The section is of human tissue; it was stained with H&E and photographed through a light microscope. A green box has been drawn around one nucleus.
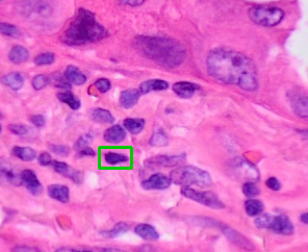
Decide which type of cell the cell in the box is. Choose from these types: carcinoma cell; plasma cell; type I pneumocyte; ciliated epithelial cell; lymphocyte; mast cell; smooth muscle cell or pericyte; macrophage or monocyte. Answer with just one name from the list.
lymphocyte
